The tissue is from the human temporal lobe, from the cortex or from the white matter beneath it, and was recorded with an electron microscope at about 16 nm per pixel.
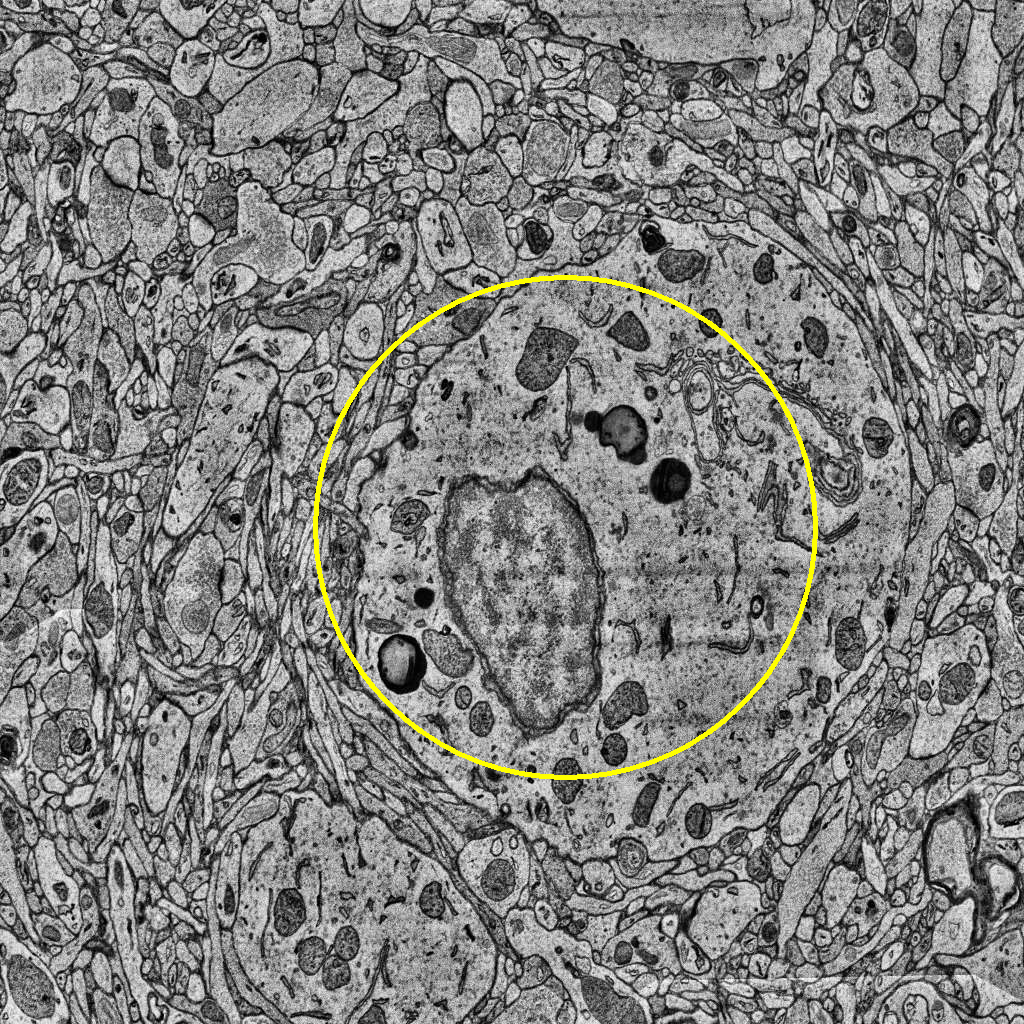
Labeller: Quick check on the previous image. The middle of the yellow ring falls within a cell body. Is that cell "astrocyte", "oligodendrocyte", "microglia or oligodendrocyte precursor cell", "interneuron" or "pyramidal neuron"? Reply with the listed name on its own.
pyramidal neuron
